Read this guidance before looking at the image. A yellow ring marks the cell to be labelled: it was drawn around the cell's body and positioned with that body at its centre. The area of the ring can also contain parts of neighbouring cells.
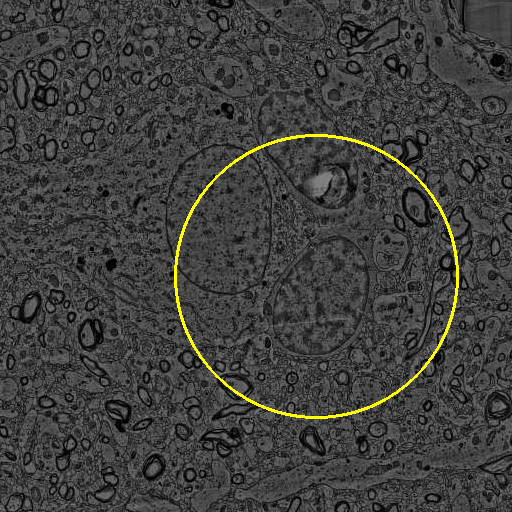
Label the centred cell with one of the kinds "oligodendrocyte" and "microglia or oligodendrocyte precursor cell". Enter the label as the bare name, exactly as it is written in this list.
oligodendrocyte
